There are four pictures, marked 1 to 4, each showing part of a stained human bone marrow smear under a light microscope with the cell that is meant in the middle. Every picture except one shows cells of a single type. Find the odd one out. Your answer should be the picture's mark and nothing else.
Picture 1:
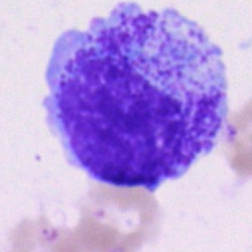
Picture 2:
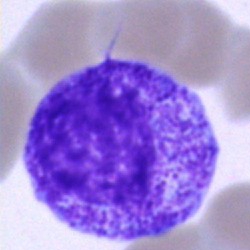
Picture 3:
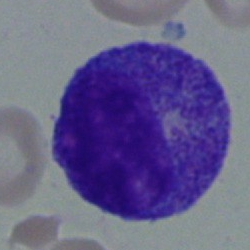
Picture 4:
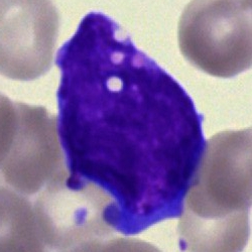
4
